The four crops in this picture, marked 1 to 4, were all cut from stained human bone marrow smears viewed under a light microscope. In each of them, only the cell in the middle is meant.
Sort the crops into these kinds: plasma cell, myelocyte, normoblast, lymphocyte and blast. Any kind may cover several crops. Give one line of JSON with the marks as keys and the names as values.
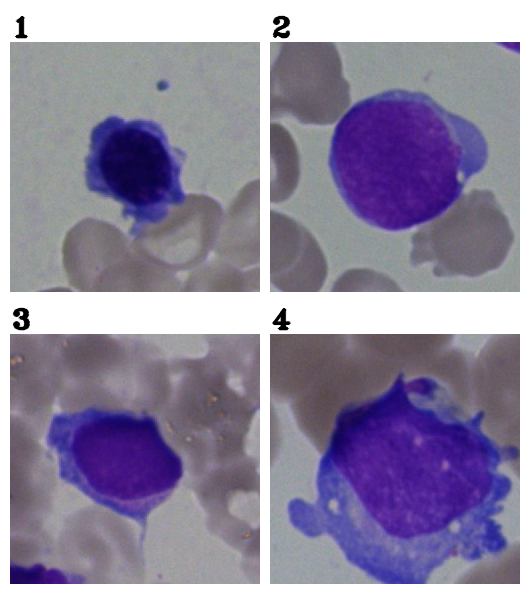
{"1": "normoblast", "2": "blast", "3": "lymphocyte", "4": "blast"}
